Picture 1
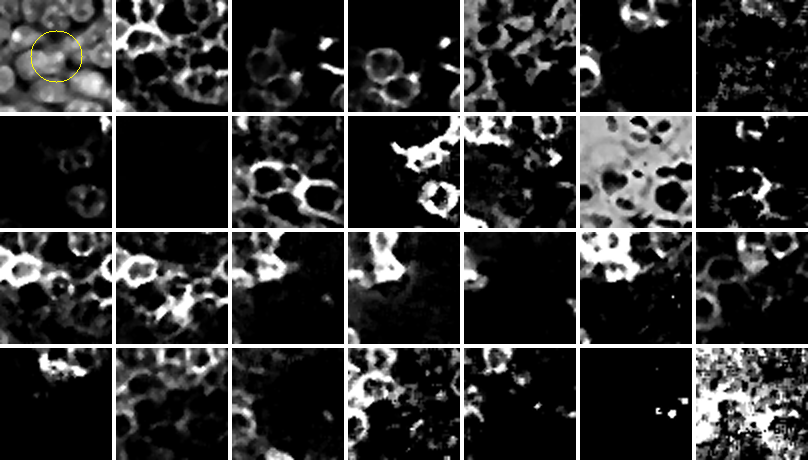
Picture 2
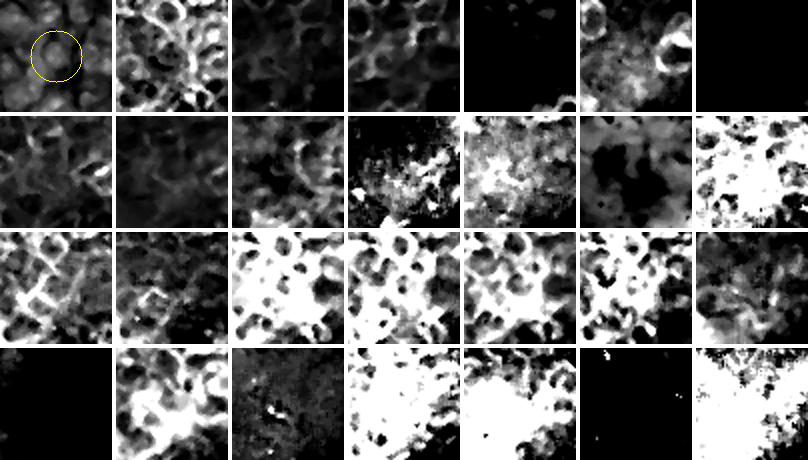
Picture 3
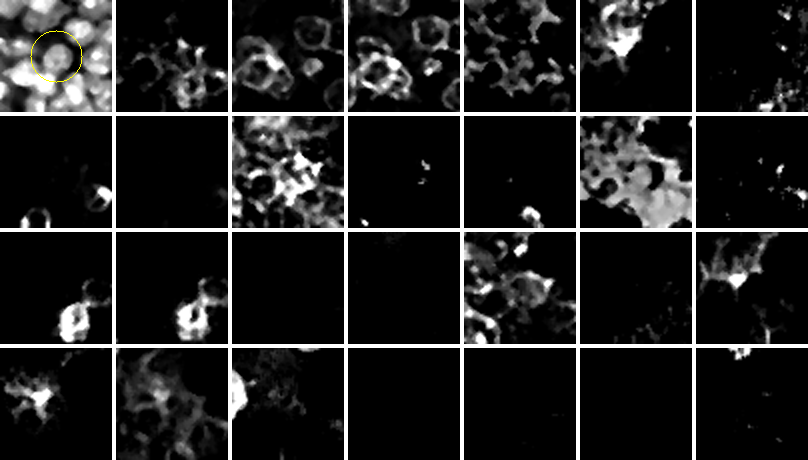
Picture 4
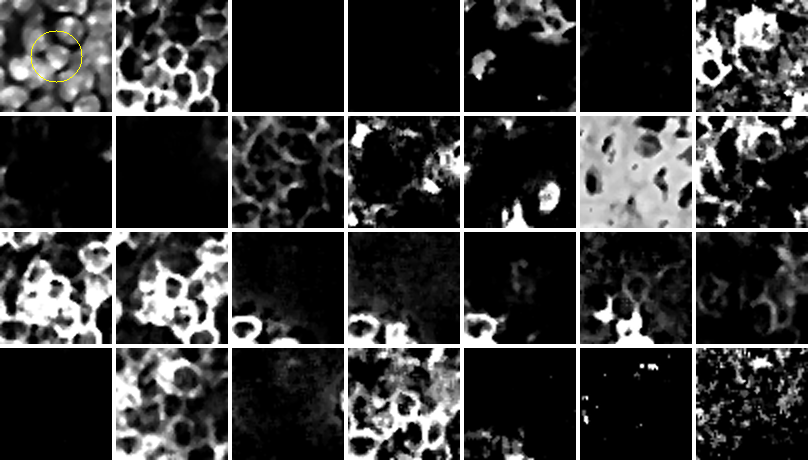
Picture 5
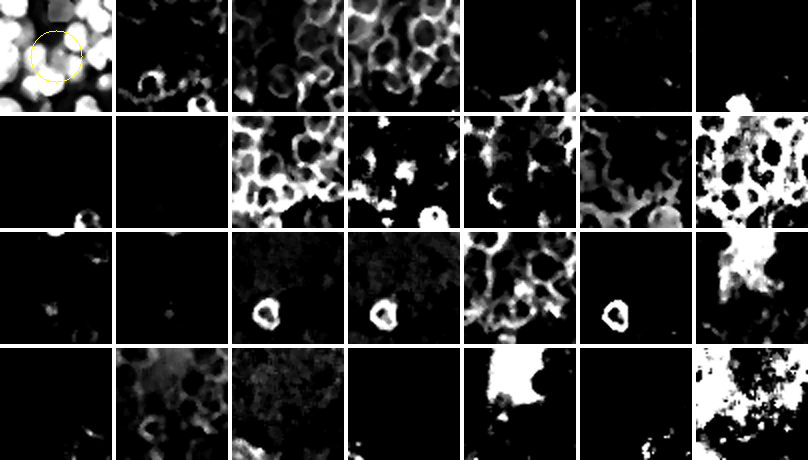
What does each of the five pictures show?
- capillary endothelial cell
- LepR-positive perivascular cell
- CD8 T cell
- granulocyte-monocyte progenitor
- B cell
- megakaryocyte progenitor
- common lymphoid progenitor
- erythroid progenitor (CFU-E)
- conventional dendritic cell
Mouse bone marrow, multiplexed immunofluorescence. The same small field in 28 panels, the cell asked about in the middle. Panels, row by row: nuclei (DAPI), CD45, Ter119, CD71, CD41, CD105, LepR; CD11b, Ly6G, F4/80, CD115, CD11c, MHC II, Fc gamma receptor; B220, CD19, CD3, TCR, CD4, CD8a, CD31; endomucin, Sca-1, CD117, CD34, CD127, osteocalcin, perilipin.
(1) B cell
(2) erythroid progenitor (CFU-E)
(3) capillary endothelial cell
(4) B cell
(5) common lymphoid progenitor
